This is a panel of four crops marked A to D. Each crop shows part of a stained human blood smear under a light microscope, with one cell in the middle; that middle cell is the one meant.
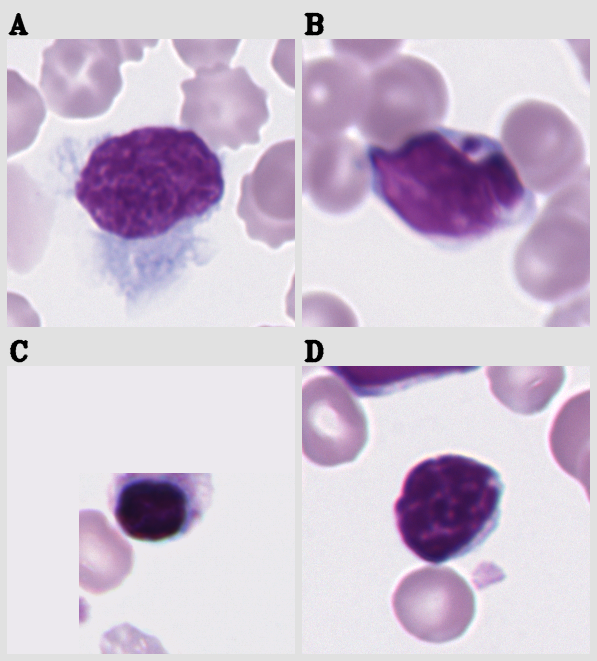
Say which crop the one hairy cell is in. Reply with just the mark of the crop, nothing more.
A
